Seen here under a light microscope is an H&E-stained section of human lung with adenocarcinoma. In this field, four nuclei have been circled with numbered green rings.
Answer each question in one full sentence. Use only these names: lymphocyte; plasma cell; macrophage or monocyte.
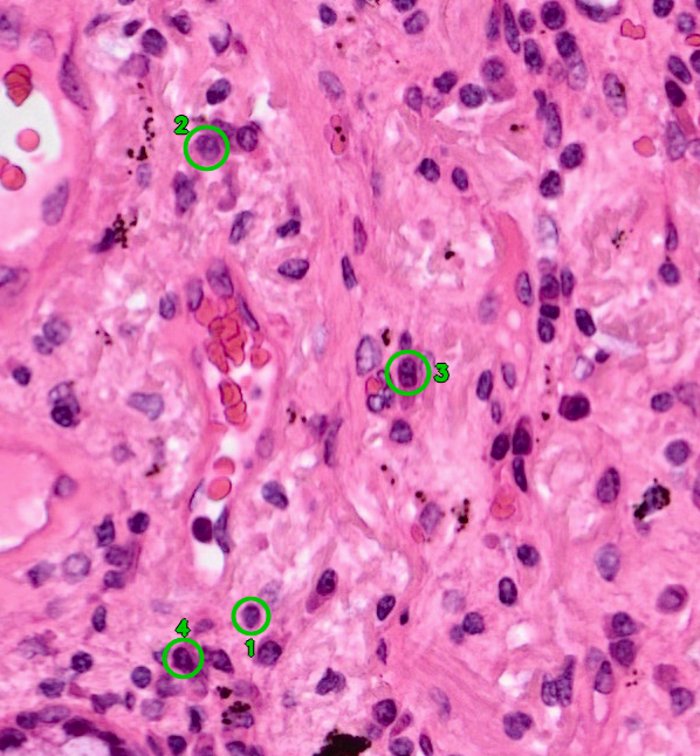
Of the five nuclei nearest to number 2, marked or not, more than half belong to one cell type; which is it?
Plasma cells account for more than half of the five nuclei nearest to number 2.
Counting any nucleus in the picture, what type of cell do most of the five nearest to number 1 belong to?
Most of the five nuclei nearest to number 1 are those of plasma cells.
